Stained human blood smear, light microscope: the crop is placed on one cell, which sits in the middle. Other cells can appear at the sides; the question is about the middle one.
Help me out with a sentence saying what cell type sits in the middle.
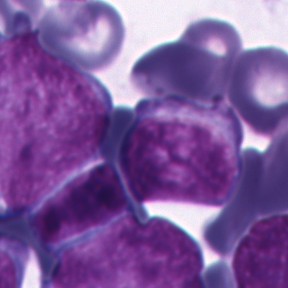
The target cell in the middle of the crop is a myeloblast.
